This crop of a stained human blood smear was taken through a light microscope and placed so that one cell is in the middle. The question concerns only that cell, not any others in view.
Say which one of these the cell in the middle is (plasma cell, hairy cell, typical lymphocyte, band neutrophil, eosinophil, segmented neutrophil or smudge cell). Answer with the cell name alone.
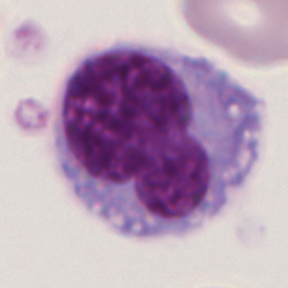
plasma cell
